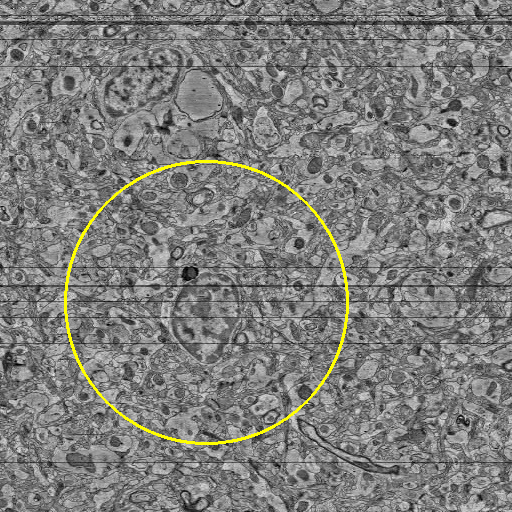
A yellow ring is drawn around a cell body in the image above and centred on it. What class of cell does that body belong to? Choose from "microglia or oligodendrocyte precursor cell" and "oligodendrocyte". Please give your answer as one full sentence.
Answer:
The yellow ring above is centred on the cell body of a microglial cell or oligodendrocyte precursor cell.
